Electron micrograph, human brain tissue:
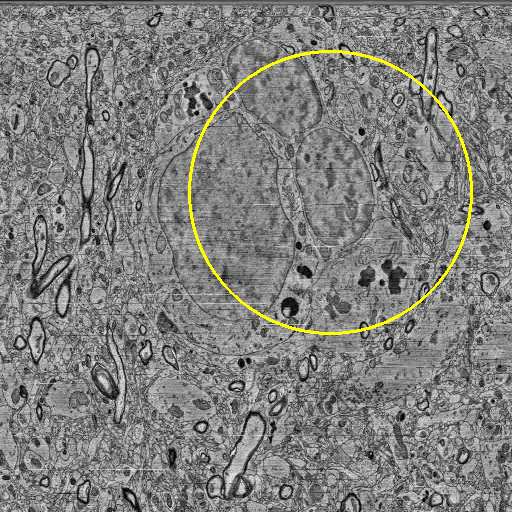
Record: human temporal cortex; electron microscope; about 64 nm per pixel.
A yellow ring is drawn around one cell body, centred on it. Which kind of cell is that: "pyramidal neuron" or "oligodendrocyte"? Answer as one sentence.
It is an oligodendrocyte at the centre of the ring.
